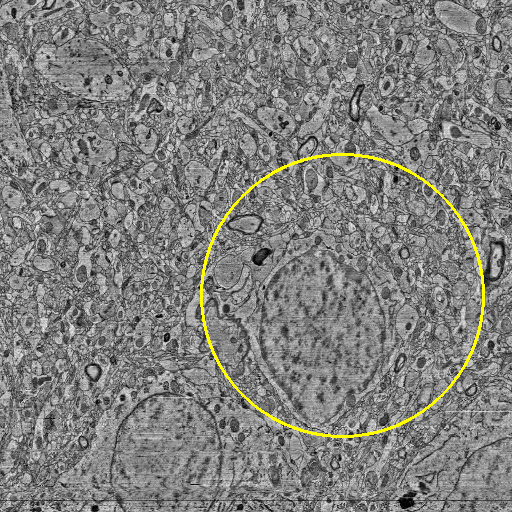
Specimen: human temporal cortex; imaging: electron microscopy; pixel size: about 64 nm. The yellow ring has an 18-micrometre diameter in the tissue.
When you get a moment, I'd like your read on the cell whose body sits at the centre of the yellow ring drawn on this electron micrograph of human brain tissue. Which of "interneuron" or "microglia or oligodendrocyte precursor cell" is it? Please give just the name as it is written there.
interneuron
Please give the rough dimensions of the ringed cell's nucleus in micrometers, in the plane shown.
In this plane the nucleus is about 11 micrometres by 8.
